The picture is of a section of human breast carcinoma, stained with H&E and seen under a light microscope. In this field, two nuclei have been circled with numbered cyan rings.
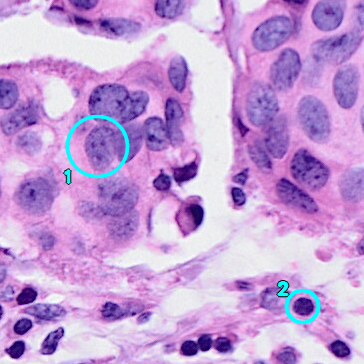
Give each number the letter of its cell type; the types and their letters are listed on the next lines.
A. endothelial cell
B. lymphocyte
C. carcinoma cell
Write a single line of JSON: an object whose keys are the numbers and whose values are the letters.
{"1": "C", "2": "B"}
